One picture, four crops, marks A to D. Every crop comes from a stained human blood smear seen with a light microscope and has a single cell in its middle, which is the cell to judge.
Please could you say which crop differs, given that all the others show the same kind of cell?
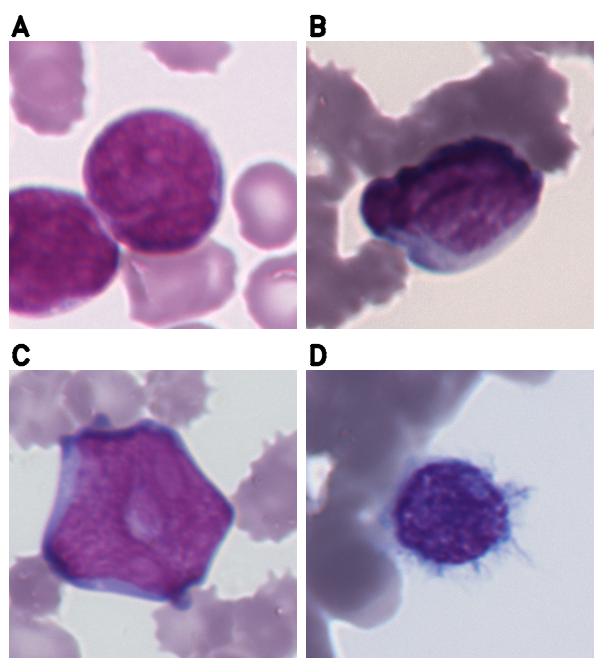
D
